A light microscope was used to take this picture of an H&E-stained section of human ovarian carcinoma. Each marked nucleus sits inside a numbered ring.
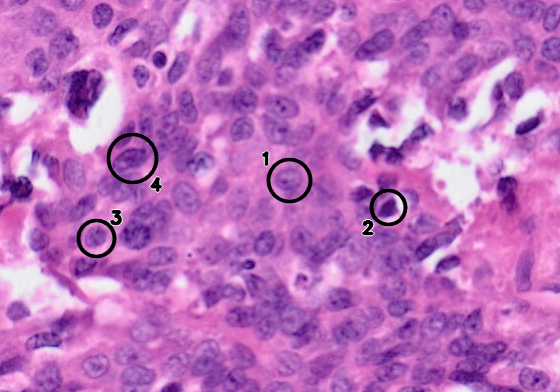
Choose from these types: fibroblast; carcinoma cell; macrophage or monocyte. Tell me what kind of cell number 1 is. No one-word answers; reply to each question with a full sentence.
Corresponding to a carcinoma cell is the cell labelled 1.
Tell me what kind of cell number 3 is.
Number 3 is placed on a macrophage or monocyte here.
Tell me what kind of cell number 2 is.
Numbered cell 2 is a carcinoma cell in this tissue section.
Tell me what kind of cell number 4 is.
Cell number 4 in this section is a carcinoma cell.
